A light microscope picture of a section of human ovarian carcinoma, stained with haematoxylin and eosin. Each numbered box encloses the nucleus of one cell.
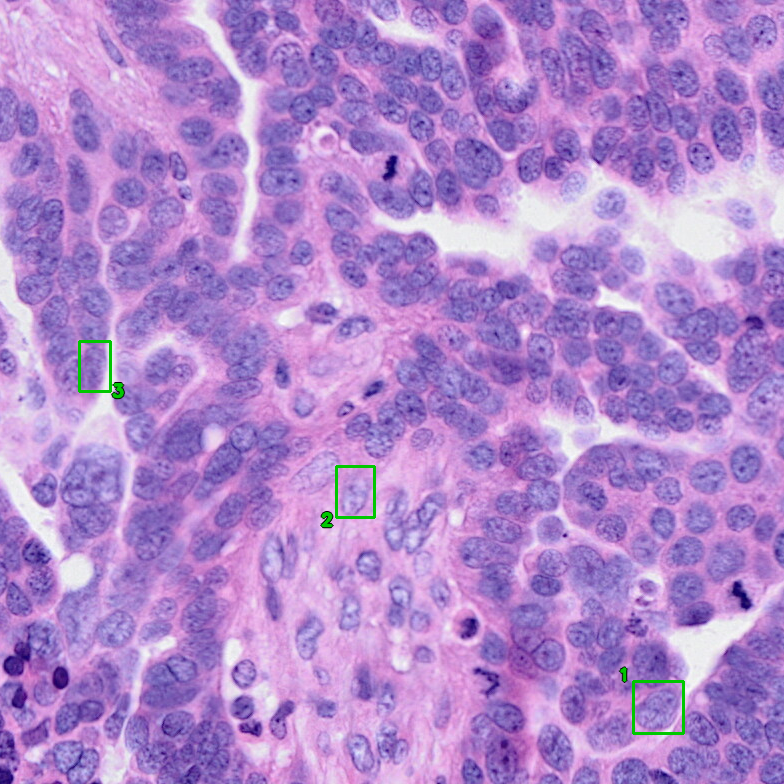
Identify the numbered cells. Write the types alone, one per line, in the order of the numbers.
carcinoma cell
fibroblast
carcinoma cell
